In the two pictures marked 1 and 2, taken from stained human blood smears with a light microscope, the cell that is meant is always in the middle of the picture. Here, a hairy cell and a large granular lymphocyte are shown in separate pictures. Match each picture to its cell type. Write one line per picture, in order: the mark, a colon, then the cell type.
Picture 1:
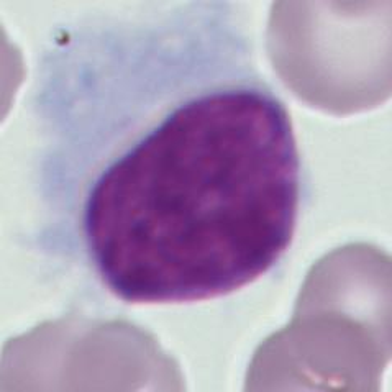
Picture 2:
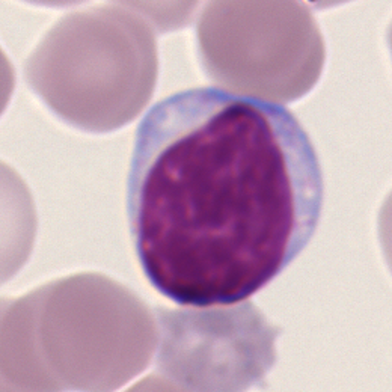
1: hairy cell
2: large granular lymphocyte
